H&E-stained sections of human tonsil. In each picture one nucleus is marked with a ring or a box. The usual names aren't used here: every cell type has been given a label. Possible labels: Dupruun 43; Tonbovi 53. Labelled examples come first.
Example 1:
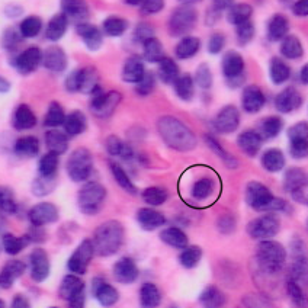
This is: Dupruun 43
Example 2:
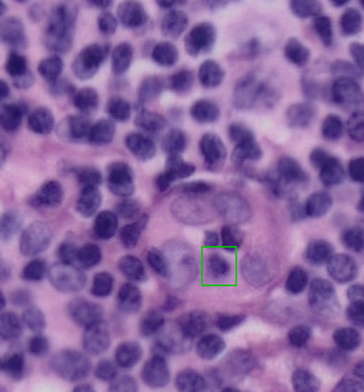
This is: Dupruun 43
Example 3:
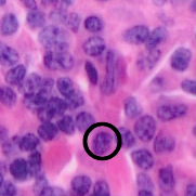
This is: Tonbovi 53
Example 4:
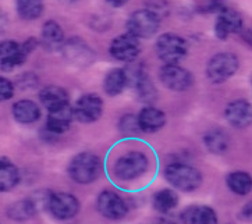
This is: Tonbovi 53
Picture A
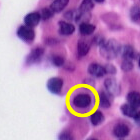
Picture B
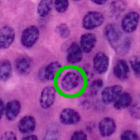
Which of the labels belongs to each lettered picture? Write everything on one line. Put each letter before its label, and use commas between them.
A Tonbovi 53, B Tonbovi 53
